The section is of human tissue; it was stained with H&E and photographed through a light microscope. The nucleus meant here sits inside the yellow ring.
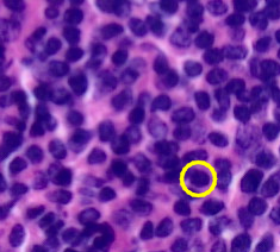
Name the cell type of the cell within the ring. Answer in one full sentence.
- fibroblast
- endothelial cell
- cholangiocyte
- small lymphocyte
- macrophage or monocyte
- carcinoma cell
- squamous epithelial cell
It is as a small lymphocyte that the cell within the ring is classified.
